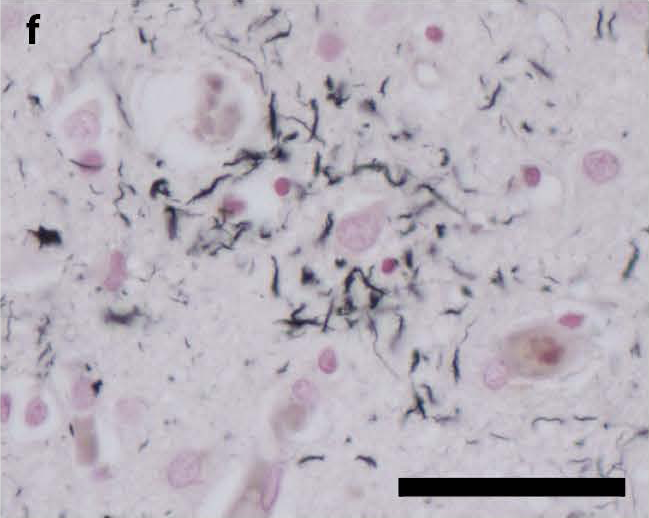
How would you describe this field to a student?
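Larger pale cell bodies with pink nuclei, likely neurons, lie at the upper left and lower right, mostly free of black deposits. Small round pink-red nuclei of glial cells are scattered among the threads.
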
